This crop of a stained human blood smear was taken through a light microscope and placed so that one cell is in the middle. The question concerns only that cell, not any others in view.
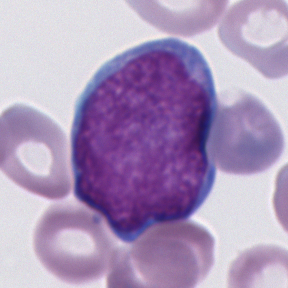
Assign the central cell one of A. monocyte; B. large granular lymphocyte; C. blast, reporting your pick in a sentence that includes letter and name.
At the centre of the crop lies a blast, which makes option C correct.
